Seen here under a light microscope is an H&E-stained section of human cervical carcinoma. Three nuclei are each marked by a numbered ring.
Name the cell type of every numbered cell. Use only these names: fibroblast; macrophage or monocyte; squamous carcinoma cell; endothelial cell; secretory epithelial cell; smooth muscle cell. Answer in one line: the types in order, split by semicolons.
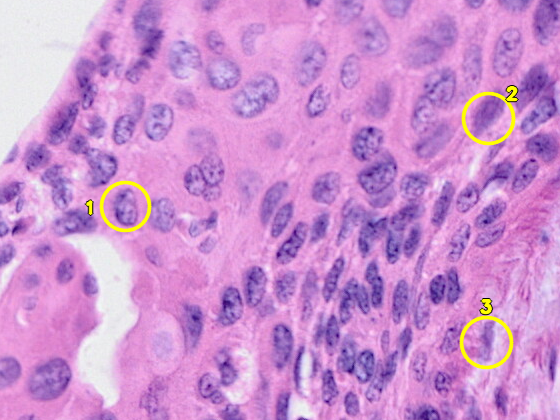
squamous carcinoma cell; squamous carcinoma cell; fibroblast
